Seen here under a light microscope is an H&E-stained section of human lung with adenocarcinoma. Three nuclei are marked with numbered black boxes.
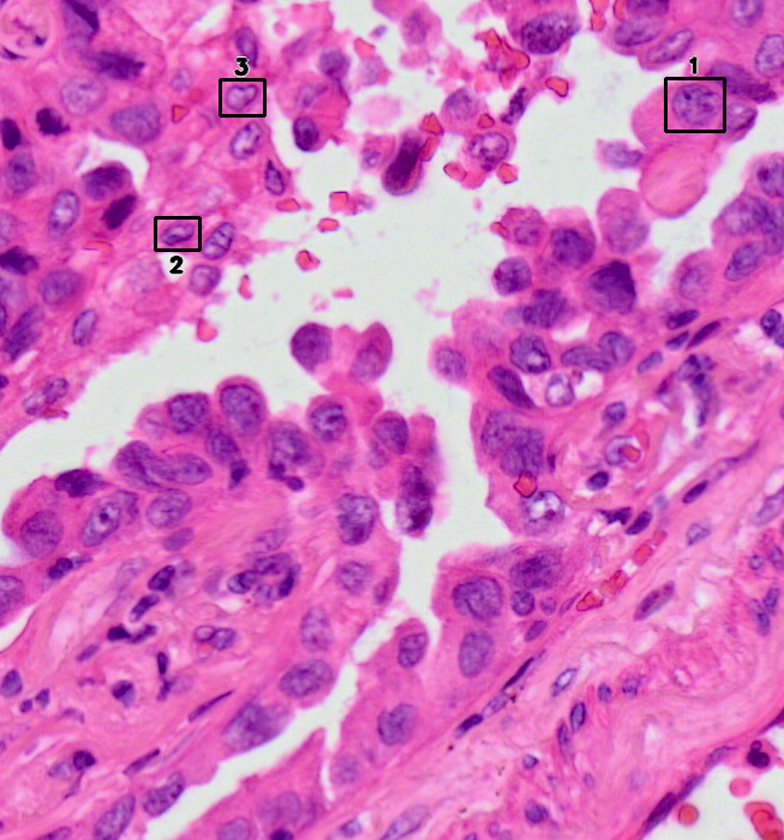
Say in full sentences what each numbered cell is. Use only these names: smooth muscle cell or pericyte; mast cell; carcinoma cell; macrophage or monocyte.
Cell 1 is a carcinoma cell, cell 2 is a macrophage or monocyte and cell 3 is a macrophage or monocyte.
